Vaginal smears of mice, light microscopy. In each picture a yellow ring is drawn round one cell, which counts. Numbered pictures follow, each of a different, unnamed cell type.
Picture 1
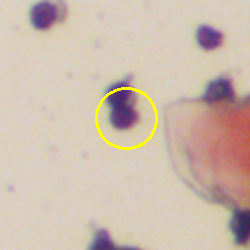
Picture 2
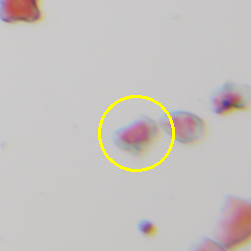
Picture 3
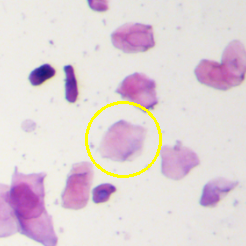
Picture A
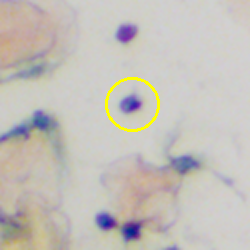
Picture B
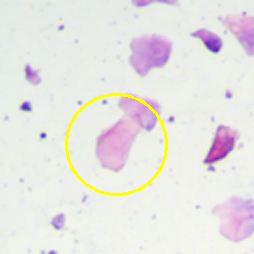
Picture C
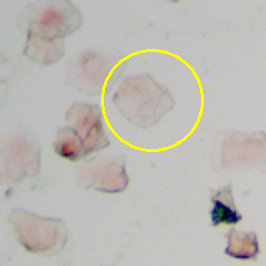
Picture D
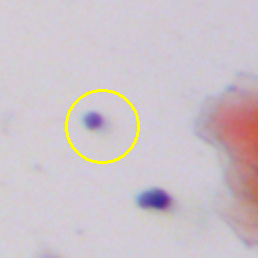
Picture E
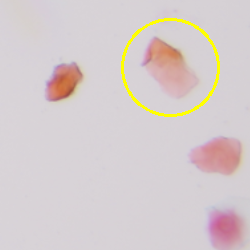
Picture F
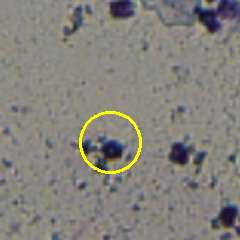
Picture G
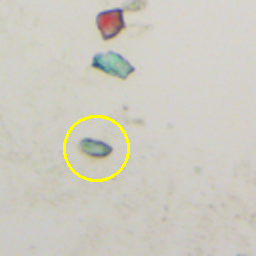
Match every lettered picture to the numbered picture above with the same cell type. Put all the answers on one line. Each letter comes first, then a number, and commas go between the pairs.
A 1, B 3, C 3, D 1, E 3, F 1, G 3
